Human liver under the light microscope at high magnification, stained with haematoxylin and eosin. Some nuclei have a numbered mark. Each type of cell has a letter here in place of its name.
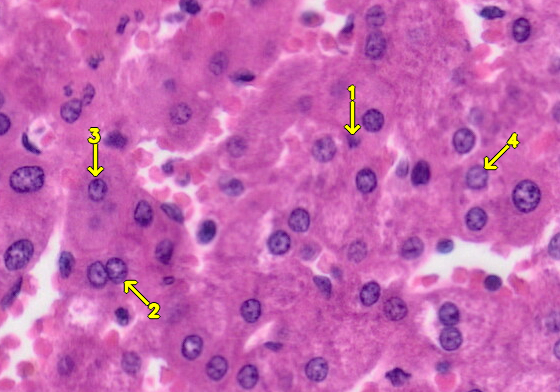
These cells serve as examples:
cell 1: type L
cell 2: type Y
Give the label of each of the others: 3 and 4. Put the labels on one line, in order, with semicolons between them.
type Y; type Y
